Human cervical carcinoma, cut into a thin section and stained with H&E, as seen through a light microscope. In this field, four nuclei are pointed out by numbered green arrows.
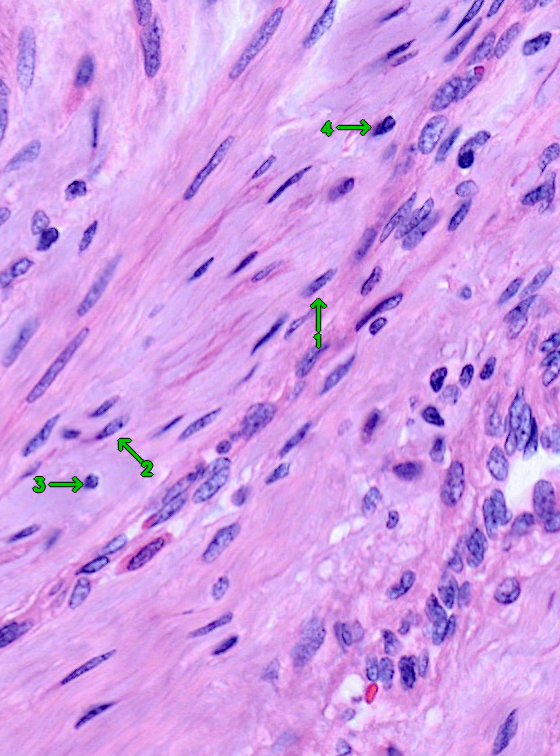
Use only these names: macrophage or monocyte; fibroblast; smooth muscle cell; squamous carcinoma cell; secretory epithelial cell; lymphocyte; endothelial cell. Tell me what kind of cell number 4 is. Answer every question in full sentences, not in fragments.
The label 4 in this section denotes a lymphocyte.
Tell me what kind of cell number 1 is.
Belonging to a fibroblast is the nucleus that carries the number 1.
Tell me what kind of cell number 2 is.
The cell pointed out as number 2 is a fibroblast.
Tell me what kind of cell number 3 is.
Classified as a fibroblast is the cell with the number 3.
